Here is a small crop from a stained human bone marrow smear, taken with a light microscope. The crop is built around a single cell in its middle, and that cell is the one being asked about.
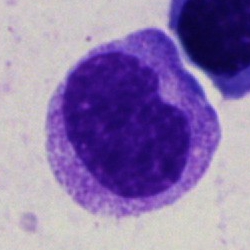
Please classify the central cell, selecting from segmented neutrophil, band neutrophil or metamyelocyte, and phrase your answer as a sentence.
The center cell of this crop is a metamyelocyte.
